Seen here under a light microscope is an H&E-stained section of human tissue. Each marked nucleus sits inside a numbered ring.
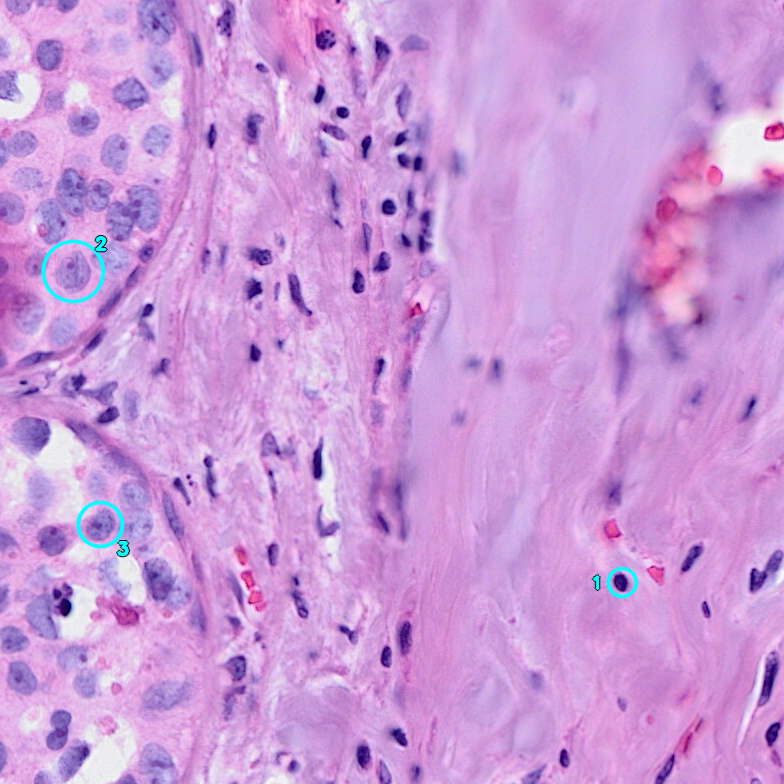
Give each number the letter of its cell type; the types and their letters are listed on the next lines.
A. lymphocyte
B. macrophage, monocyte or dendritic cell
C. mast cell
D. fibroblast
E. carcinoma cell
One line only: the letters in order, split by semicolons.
A; E; E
